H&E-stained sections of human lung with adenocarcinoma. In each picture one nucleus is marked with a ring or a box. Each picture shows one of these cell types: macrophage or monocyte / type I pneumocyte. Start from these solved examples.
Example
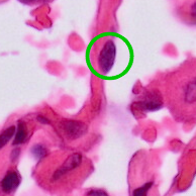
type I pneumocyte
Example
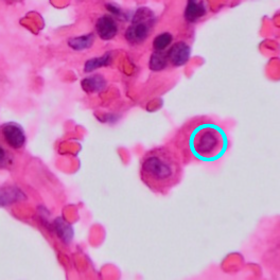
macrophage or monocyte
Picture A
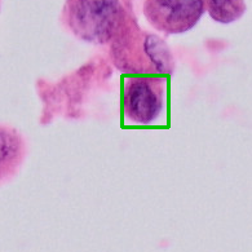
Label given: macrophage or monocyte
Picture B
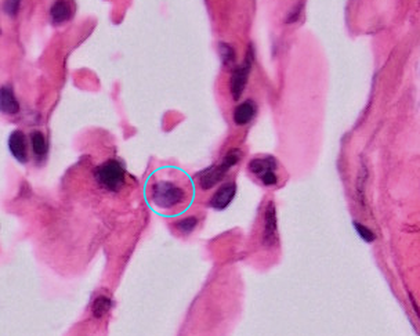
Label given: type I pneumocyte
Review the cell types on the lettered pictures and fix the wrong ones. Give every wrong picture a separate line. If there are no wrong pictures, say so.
All correct.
